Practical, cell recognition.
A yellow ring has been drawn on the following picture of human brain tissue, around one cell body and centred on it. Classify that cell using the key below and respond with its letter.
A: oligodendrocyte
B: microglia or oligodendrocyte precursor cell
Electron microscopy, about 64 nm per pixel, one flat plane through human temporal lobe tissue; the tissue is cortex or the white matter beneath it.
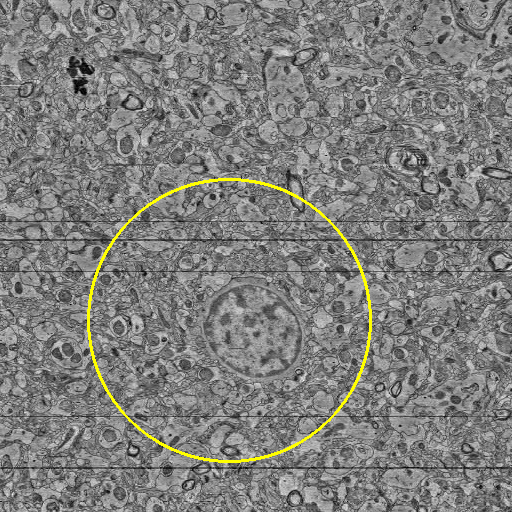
A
